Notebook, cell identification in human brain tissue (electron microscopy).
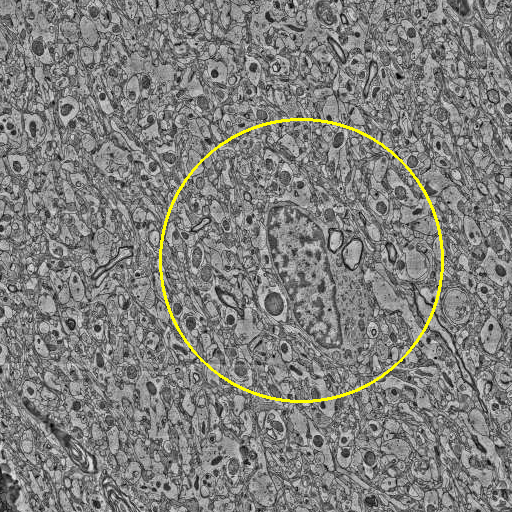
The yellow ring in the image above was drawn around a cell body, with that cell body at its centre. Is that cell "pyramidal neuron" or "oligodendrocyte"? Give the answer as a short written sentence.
The cell in the ring is an oligodendrocyte.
